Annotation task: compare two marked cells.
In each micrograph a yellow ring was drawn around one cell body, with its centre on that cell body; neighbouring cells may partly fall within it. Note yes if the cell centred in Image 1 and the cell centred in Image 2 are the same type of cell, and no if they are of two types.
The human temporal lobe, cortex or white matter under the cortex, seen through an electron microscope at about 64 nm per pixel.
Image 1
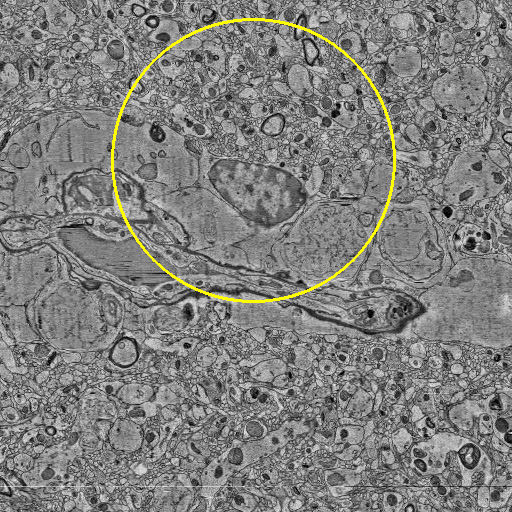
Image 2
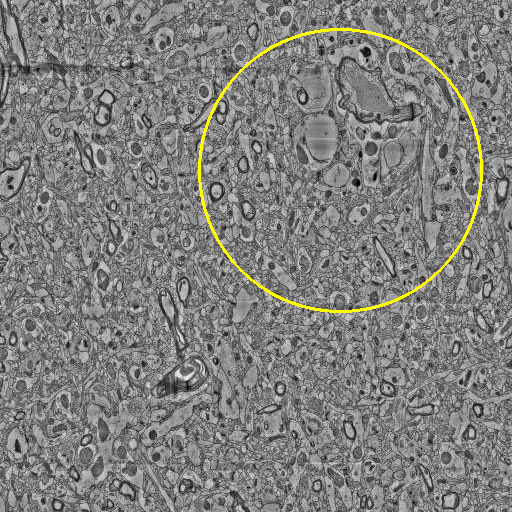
yes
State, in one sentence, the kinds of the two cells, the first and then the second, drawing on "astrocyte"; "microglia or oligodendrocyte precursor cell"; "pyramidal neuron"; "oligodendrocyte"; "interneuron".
The second cell is a microglial cell or oligodendrocyte precursor cell, just as the first is.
